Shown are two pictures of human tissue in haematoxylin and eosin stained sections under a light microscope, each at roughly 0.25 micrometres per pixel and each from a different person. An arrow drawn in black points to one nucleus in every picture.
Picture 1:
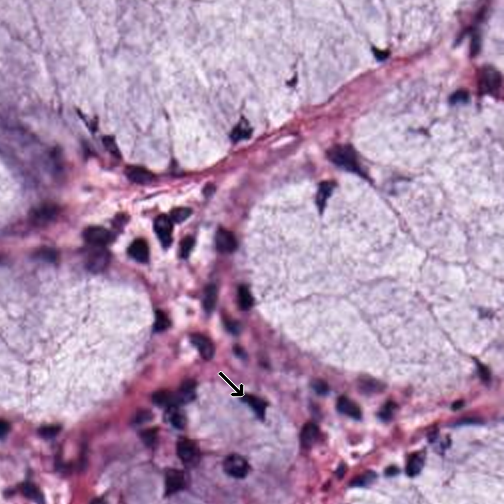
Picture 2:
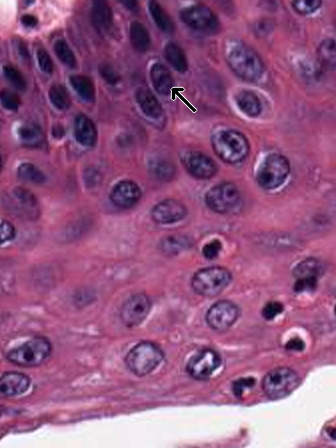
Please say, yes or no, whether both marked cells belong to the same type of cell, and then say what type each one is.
No, the first is a mucous gland cell and the second a squamous epithelial cell.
